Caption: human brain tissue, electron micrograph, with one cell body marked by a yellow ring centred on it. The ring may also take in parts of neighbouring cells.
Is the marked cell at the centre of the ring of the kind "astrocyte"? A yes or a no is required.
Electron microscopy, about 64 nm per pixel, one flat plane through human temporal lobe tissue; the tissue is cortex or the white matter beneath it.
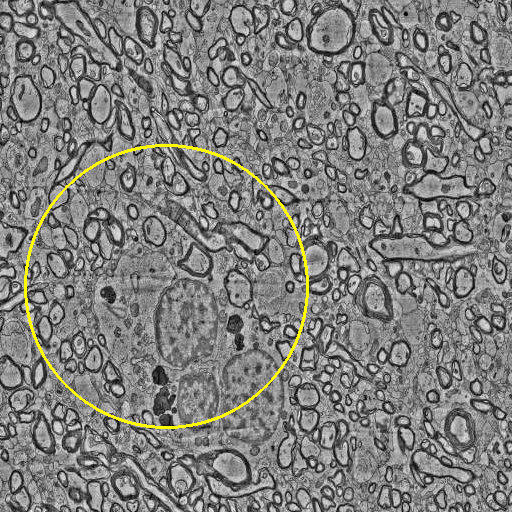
no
